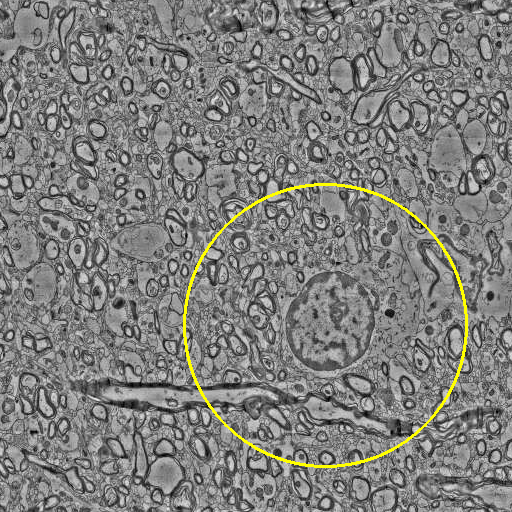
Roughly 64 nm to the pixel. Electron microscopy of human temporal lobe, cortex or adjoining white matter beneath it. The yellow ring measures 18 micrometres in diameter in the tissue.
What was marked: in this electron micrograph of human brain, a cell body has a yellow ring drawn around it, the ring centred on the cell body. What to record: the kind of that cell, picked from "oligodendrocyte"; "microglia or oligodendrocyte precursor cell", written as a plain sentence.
The centred cell is a microglial cell or oligodendrocyte precursor cell.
